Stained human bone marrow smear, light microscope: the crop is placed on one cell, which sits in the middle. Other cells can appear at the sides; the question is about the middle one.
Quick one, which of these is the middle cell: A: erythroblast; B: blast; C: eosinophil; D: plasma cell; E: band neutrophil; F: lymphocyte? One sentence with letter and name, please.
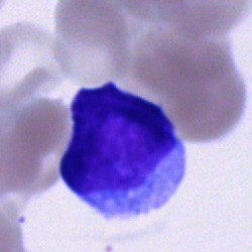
Option B is right, the centrally situated cell being a blast.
